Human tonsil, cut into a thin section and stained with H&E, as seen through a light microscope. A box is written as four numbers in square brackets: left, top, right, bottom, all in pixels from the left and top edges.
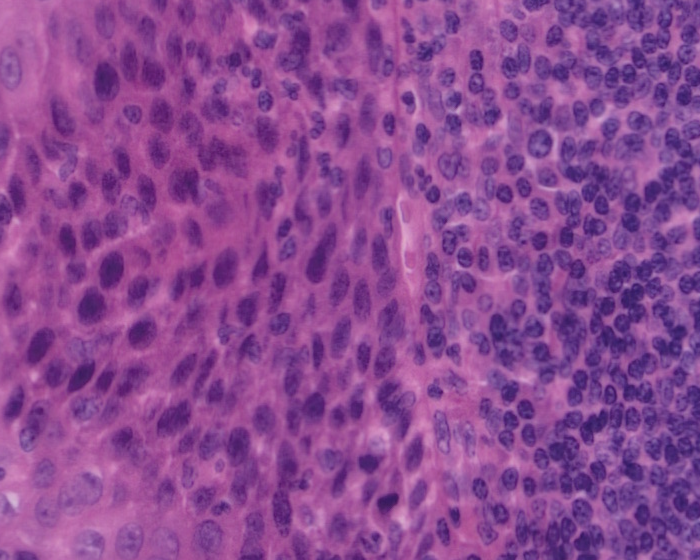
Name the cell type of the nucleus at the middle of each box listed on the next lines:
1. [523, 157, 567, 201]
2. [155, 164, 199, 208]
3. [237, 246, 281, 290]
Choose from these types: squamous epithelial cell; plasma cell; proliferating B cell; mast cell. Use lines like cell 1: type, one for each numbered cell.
cell 1: plasma cell
cell 2: squamous epithelial cell
cell 3: squamous epithelial cell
